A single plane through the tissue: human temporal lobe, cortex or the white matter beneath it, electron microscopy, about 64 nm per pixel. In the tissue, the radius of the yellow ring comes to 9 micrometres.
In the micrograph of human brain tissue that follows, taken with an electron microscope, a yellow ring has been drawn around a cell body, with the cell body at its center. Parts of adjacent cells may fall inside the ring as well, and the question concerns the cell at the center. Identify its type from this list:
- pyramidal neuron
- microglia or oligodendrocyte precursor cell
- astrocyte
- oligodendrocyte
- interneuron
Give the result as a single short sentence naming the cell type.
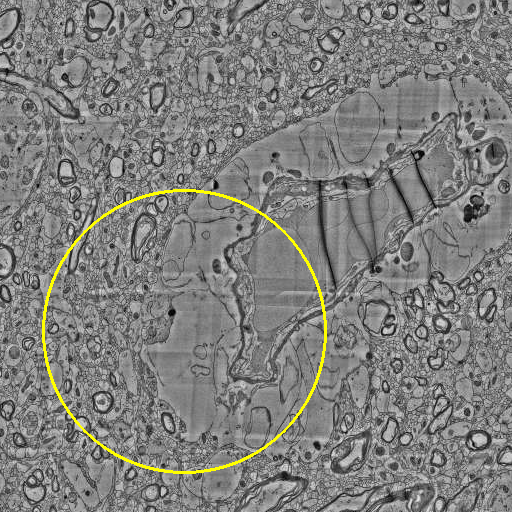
The ring is centered on an oligodendrocyte.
